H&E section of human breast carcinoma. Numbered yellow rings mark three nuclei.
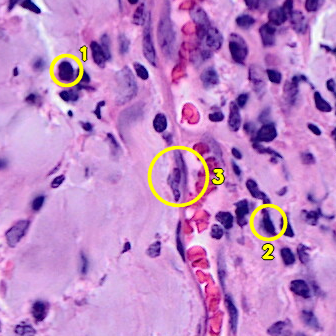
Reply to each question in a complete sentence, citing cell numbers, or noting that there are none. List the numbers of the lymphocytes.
The cells numbered 1 and 2 fall into the category of lymphocytes.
